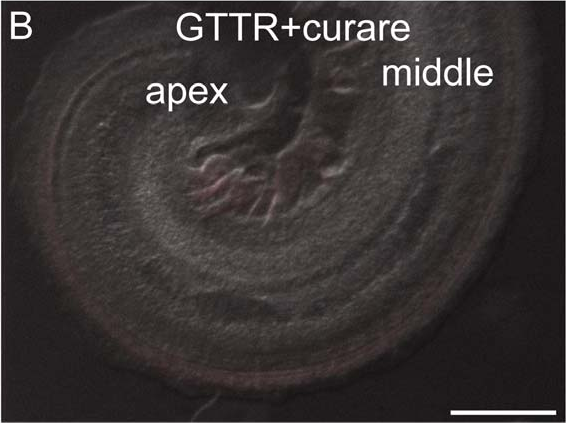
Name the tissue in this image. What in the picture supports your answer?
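Cochleae. Parallel concentric bands run along the length of the spiral. The centre of the spiral is a narrower, irregular region.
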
